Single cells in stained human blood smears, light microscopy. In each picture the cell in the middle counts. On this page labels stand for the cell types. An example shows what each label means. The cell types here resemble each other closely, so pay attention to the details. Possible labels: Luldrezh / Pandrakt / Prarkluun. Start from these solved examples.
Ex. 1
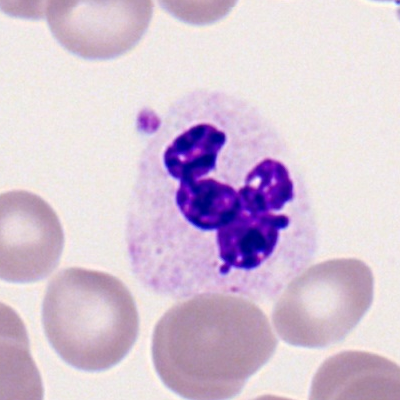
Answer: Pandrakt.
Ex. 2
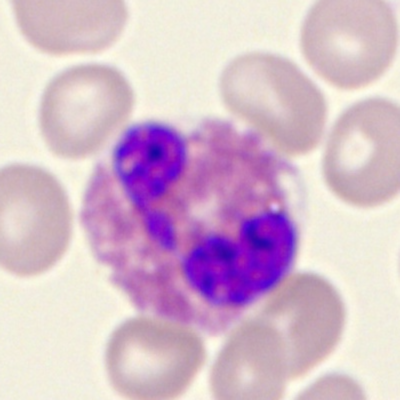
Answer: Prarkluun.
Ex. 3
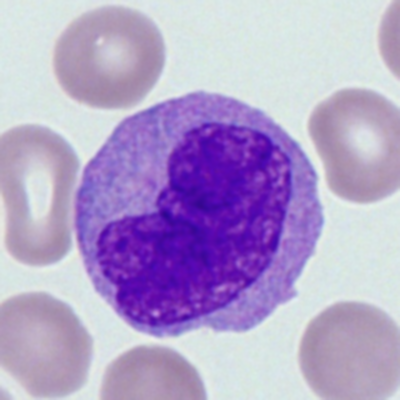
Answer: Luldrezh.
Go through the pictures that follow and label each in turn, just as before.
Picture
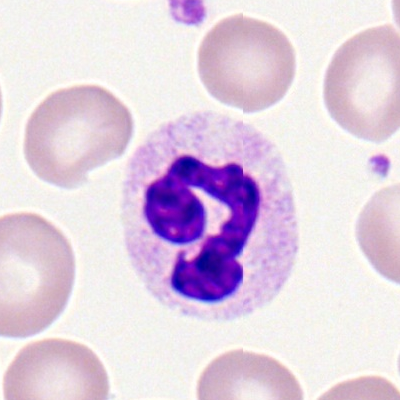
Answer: Pandrakt.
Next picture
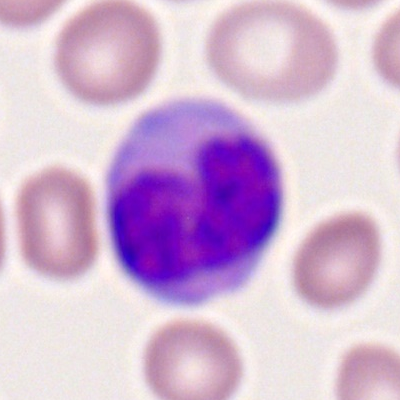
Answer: Luldrezh.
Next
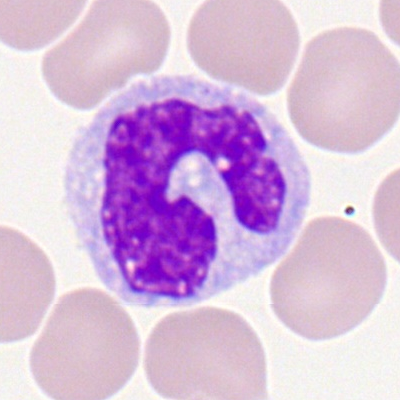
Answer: Luldrezh.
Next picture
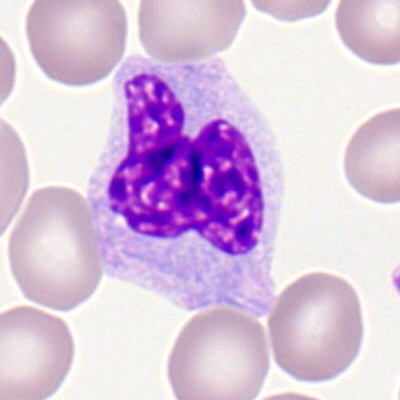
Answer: Luldrezh.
